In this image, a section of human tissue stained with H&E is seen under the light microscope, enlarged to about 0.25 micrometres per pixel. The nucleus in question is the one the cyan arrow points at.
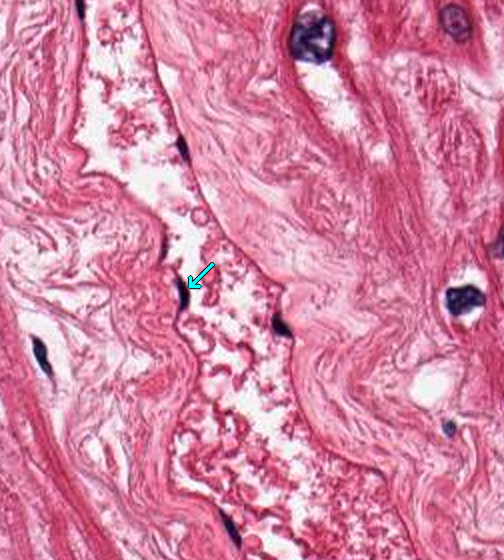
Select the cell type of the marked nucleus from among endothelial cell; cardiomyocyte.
endothelial cell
